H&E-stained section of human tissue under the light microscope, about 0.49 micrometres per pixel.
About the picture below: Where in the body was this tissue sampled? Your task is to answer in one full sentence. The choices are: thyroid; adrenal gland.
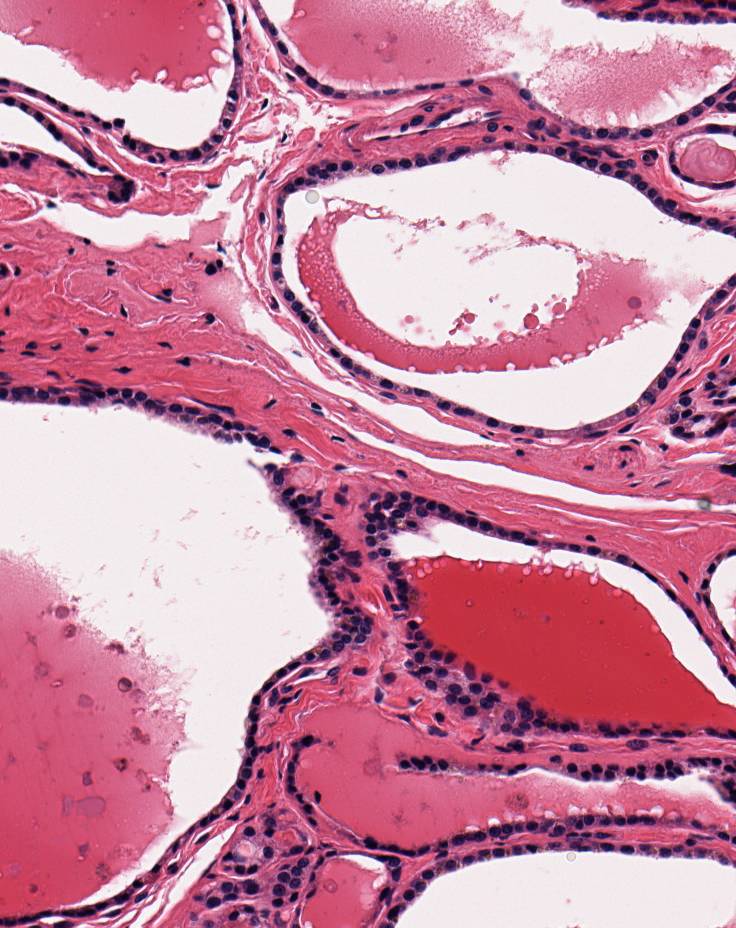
The tissue in this section derives from the thyroid.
